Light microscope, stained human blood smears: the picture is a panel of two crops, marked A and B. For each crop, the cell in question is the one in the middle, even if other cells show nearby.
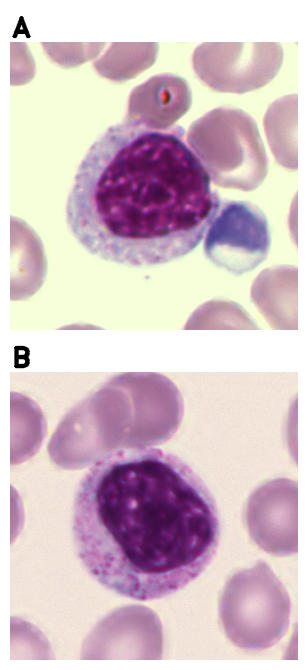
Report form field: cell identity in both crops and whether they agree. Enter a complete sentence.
Yes, both of the crops in this pair show metamyelocytes, one cell in each crop.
